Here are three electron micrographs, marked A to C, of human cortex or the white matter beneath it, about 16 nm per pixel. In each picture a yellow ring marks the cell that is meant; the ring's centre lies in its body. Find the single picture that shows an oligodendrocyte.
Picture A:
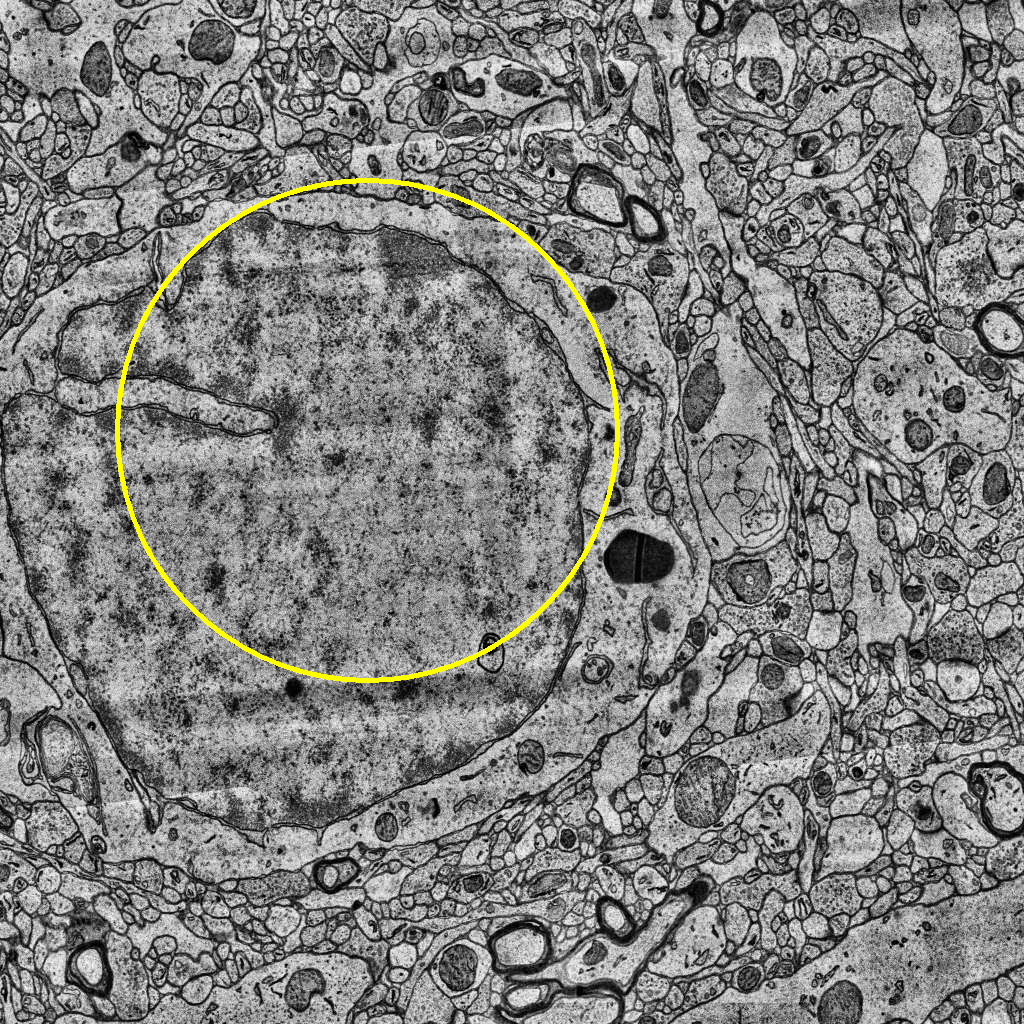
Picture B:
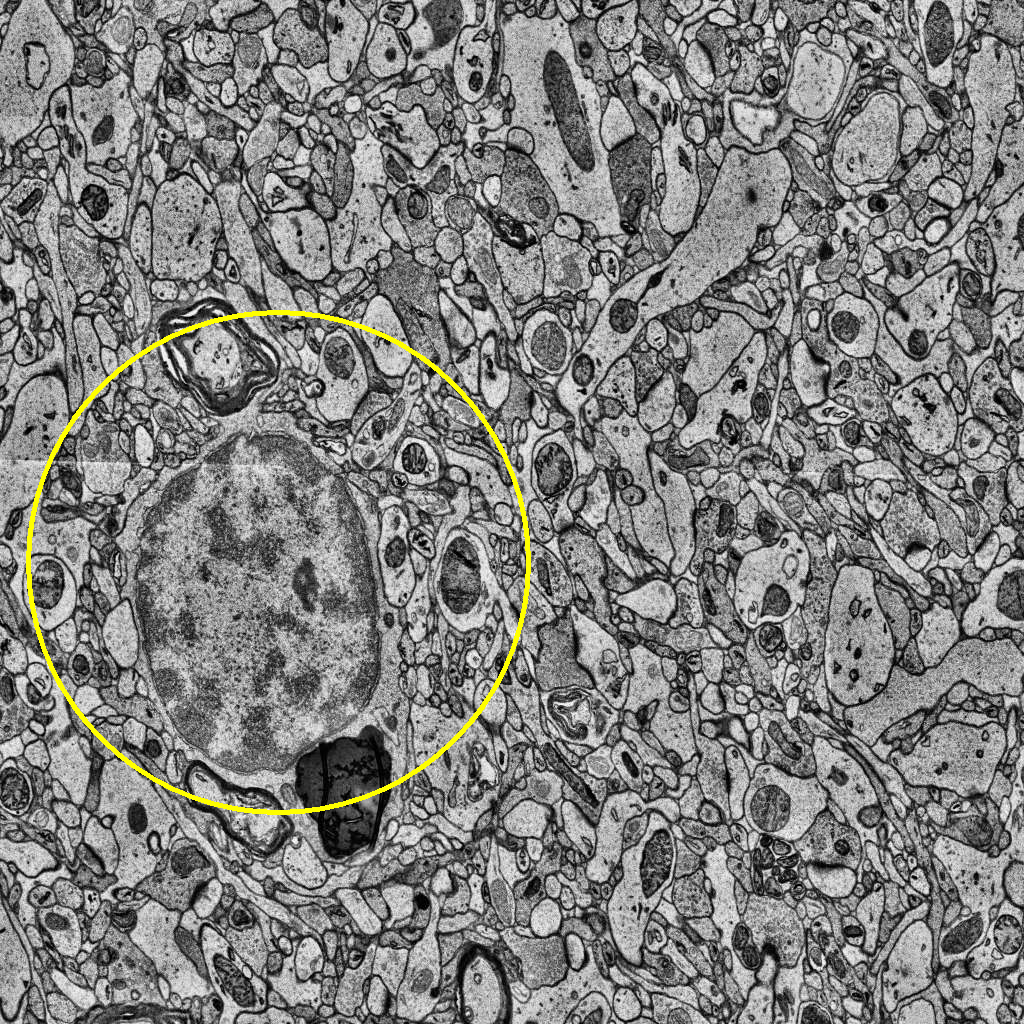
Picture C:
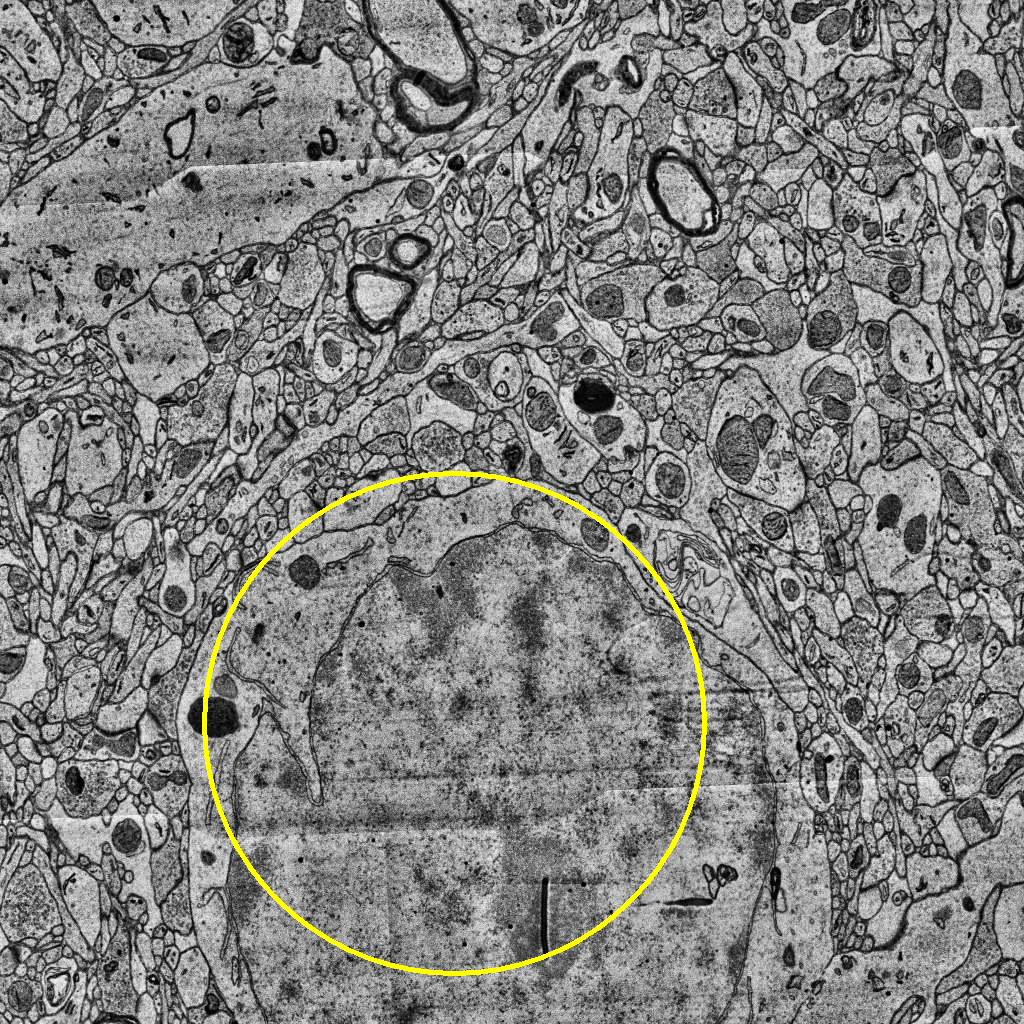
The oligodendrocyte is the one in picture B.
